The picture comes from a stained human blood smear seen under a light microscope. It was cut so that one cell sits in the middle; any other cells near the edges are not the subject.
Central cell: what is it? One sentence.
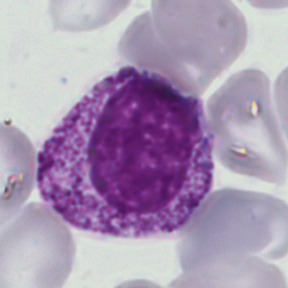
Classified as a myelocyte is the cell in the middle of this crop.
